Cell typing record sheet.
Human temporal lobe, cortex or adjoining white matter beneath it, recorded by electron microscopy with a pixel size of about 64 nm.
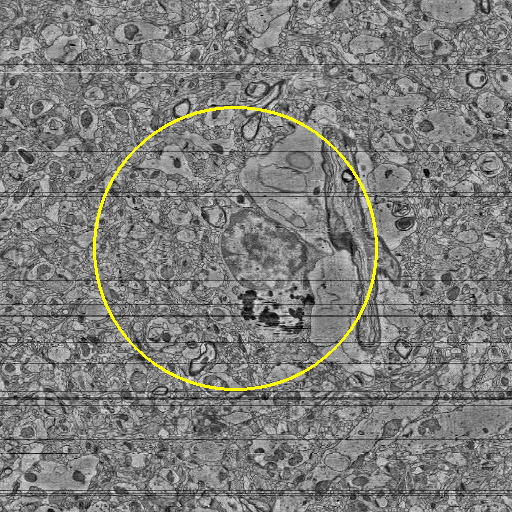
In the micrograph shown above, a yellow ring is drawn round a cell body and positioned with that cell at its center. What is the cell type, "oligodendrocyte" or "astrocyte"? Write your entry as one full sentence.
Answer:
The cell body at the center of the ring belongs to an oligodendrocyte.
